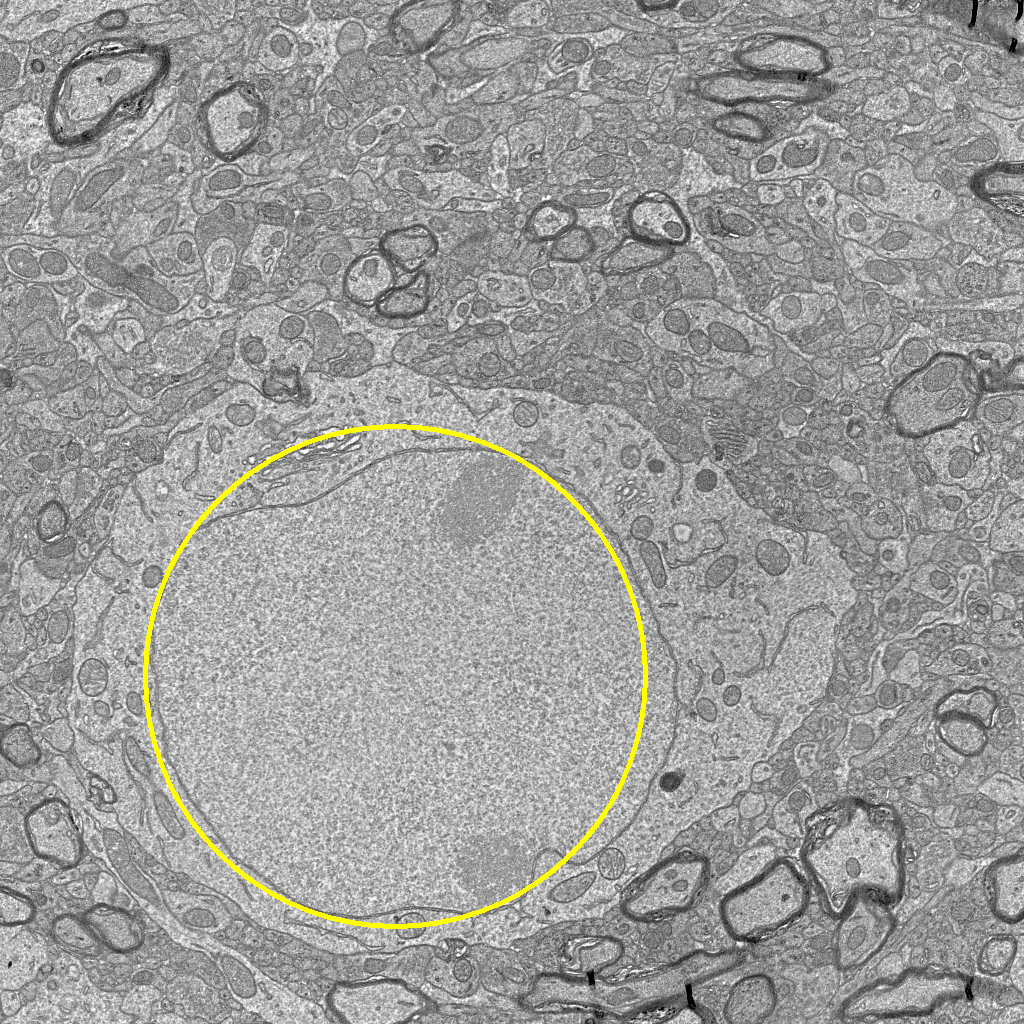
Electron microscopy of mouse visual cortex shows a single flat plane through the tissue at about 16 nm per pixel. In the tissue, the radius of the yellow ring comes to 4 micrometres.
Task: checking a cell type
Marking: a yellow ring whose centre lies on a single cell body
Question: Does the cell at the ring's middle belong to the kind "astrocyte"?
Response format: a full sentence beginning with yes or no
No, the cell marked at the ring's centre in the picture is of a different kind.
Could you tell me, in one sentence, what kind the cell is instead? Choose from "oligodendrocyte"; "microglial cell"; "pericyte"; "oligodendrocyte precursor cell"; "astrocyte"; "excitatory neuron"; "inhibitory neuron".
The cell at the ring centre is an excitatory neuron.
